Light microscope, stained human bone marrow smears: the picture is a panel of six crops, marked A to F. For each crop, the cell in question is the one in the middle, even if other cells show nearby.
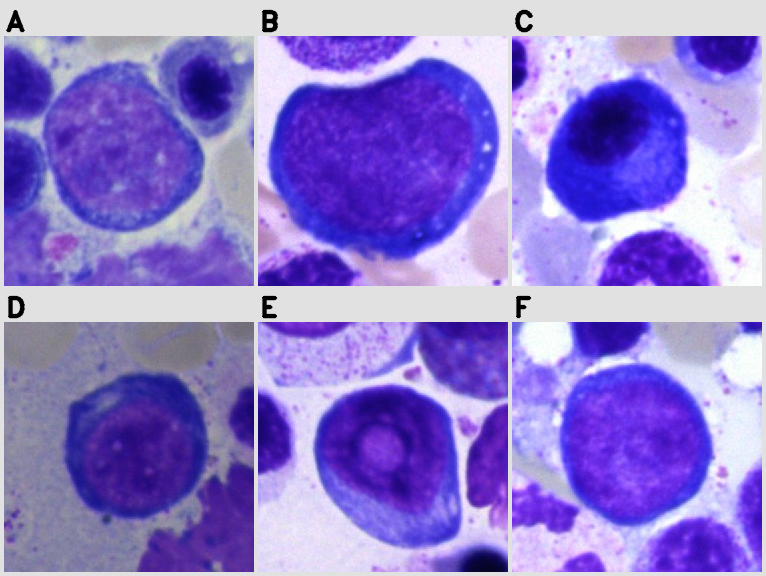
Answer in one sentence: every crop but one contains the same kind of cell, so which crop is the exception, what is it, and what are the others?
Shown in crop C is a plasma cell, in contrast to the proerythroblasts of all the other crops.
